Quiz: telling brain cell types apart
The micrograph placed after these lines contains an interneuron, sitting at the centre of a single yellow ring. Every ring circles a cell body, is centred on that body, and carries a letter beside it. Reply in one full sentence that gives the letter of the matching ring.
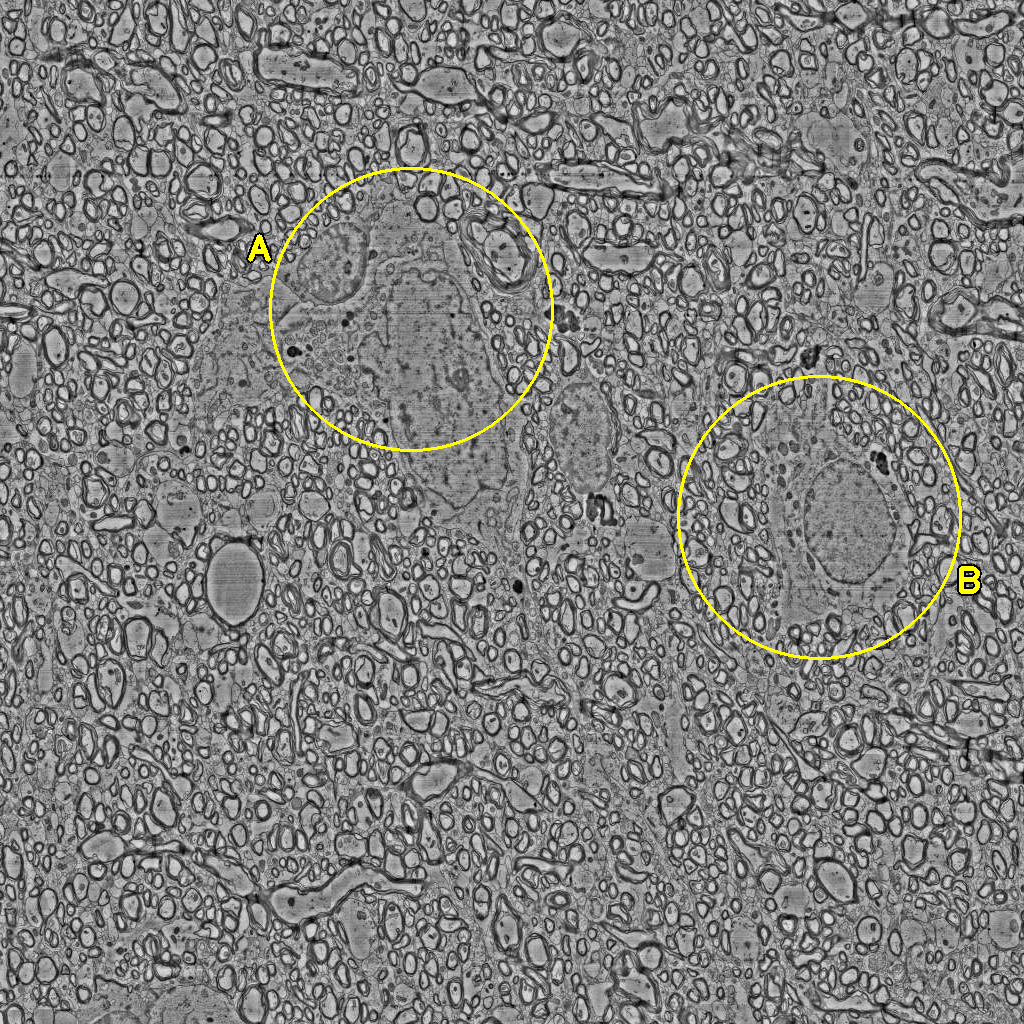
The cell asked for lies at the centre of ring A in the picture.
